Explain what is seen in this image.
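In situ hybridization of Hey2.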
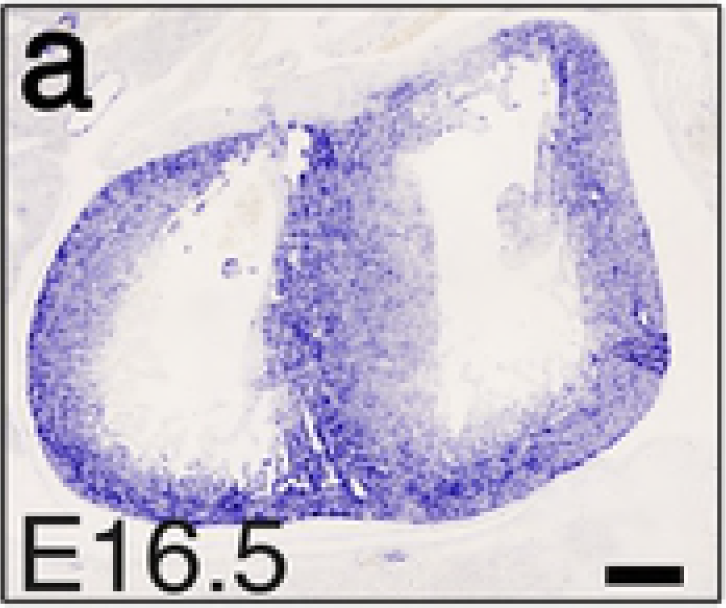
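The dark stain is strongest in the thick outer ventricular wall and in the septum, forming a continuous band around each chamber. Toward the cavities the stain fades, and the inner trabecular meshwork stays largely pale.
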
